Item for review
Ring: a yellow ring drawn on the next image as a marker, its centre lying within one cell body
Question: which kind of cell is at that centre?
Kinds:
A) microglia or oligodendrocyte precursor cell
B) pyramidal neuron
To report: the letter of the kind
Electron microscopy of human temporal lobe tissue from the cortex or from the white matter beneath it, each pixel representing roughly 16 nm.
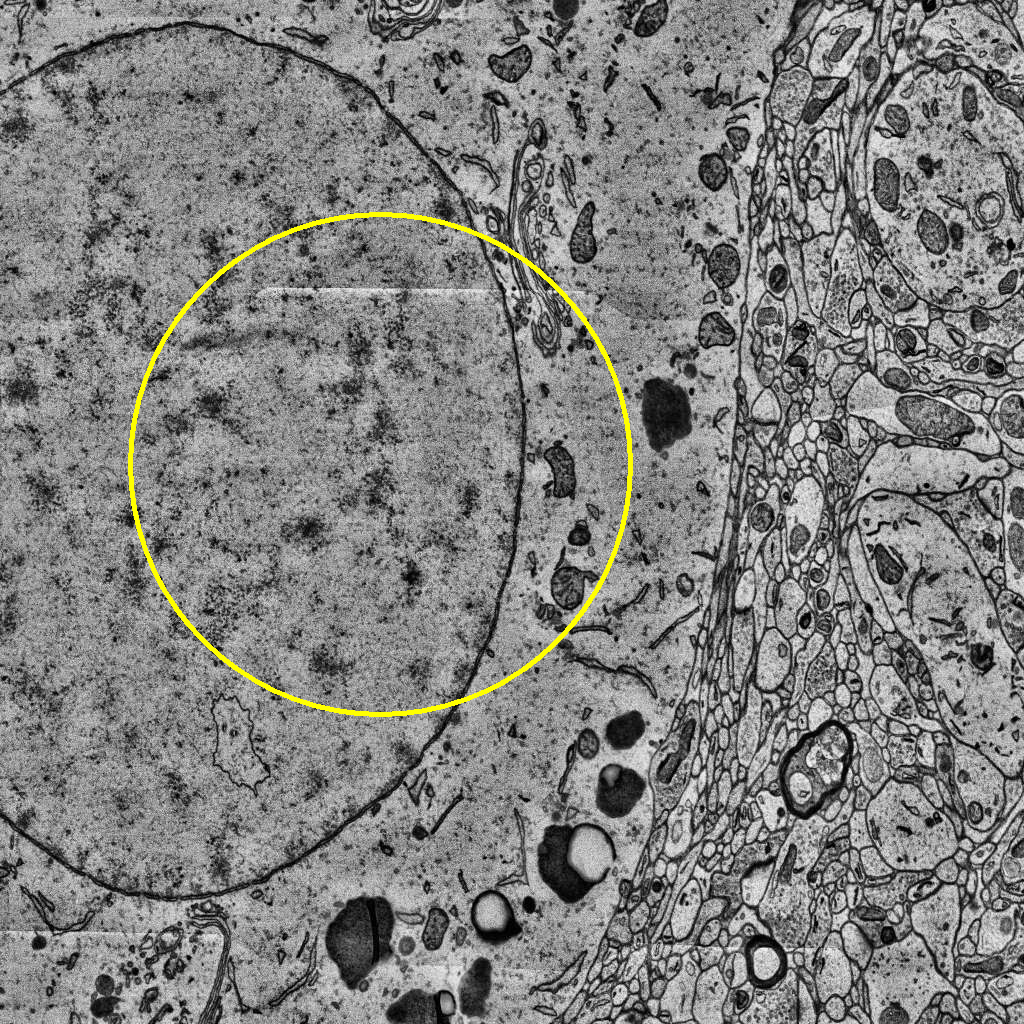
B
